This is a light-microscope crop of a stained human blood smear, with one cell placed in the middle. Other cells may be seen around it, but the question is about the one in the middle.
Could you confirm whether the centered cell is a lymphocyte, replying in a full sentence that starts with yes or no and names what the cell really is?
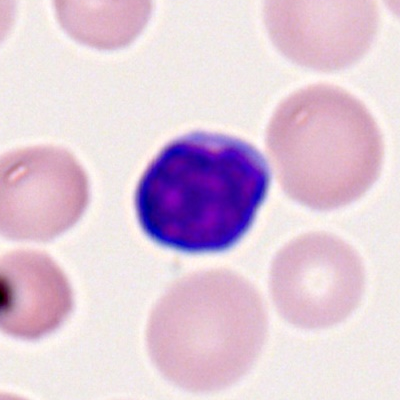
Yes, it is a lymphocyte that is seen at the centre of the crop.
